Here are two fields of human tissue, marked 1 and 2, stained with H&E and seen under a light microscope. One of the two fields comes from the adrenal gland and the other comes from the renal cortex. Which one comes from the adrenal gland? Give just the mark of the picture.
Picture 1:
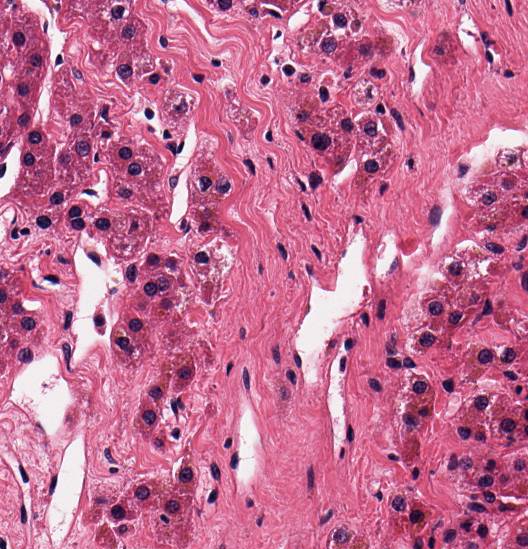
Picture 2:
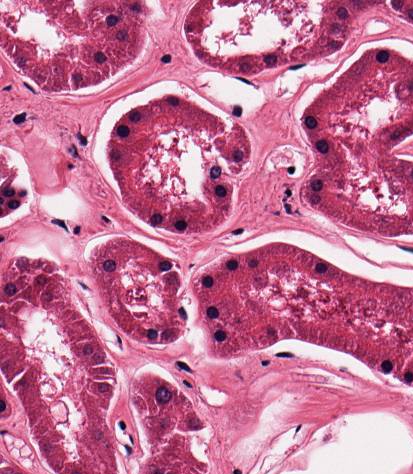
1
